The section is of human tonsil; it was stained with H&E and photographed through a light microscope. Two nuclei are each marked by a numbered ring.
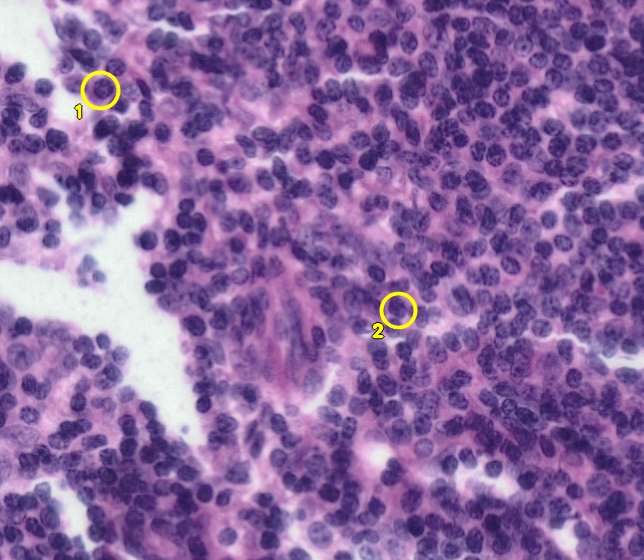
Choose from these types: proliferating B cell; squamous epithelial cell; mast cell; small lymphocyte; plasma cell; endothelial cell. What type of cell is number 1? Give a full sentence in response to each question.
It is as a plasma cell that the cell numbered 1 is identified.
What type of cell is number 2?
The correct answer for cell 2 is a small lymphocyte.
